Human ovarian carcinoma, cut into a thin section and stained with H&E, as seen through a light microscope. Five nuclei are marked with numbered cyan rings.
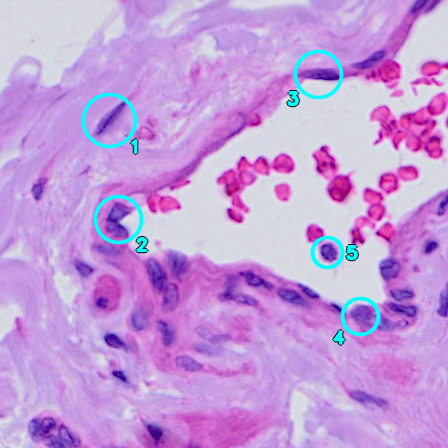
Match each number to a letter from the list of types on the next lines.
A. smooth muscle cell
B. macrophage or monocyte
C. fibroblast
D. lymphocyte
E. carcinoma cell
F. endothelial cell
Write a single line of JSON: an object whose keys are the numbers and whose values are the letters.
{"1": "C", "2": "F", "3": "F", "4": "F", "5": "D"}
